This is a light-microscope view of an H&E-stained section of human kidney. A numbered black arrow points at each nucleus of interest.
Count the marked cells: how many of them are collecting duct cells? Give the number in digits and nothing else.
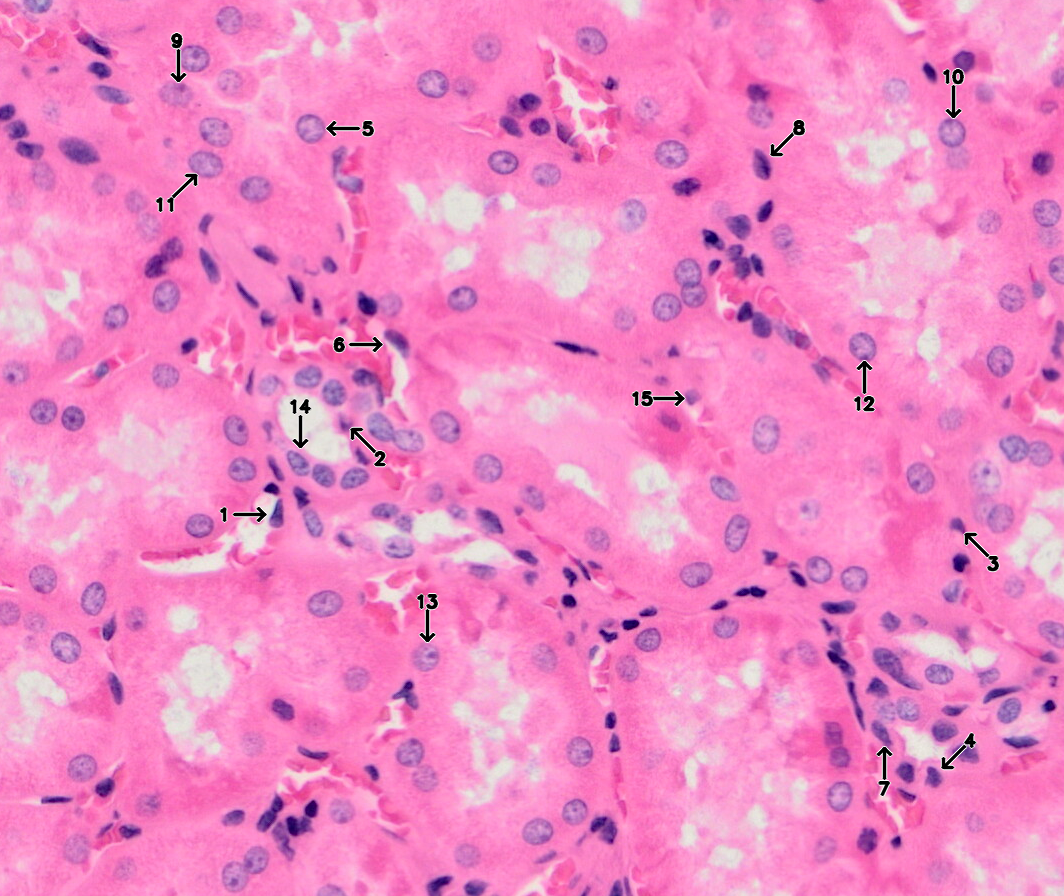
4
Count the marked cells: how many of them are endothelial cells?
5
